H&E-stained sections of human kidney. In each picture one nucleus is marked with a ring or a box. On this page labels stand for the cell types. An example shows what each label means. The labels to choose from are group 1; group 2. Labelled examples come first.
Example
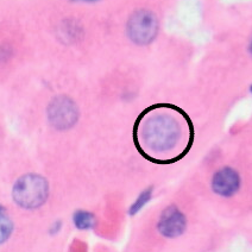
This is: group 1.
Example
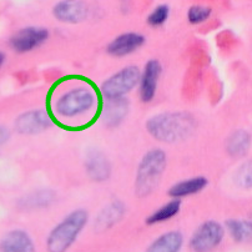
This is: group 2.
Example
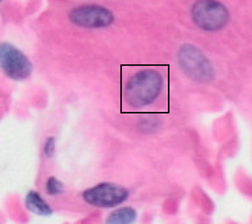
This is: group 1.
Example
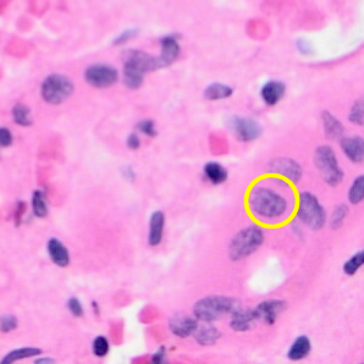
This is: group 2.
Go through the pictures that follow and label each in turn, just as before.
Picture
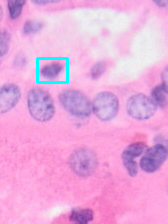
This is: group 2.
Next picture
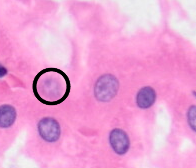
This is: group 1.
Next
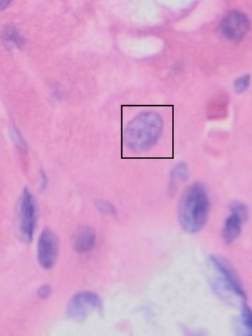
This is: group 1.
